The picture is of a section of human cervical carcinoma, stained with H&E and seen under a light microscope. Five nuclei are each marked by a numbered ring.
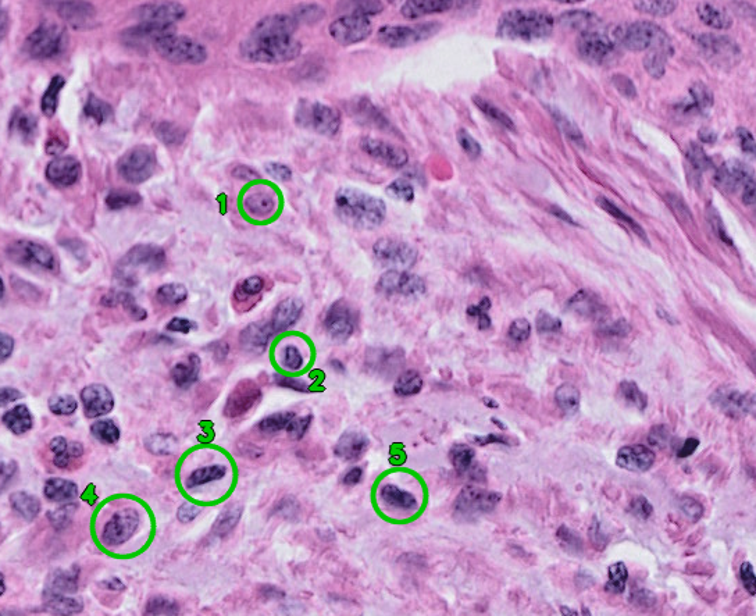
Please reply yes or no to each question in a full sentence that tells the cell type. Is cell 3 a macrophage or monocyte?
No, cell 3 is classified as a lymphocyte rather than a macrophage or monocyte.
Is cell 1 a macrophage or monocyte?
Yes, number 1 is assigned to a cell that is a macrophage or monocyte.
